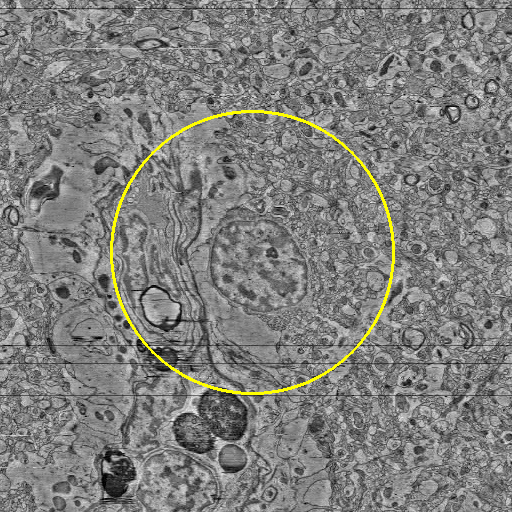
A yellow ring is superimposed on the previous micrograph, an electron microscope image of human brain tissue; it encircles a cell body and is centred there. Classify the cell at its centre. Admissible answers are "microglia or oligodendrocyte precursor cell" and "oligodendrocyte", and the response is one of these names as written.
oligodendrocyte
